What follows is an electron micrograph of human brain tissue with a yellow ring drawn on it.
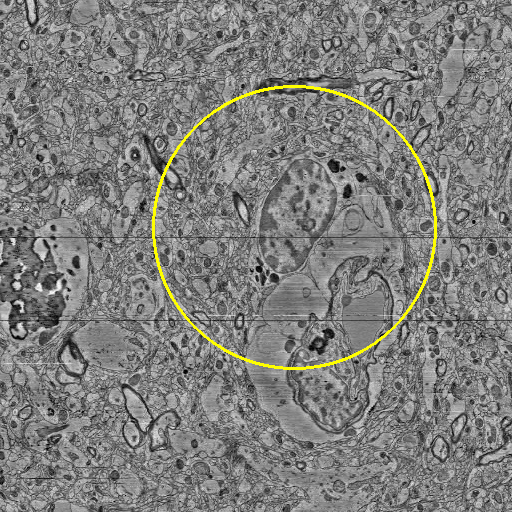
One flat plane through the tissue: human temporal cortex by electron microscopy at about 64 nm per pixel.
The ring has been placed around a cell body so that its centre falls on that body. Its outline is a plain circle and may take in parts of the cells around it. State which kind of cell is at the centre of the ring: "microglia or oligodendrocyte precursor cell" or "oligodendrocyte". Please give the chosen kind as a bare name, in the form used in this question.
microglia or oligodendrocyte precursor cell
